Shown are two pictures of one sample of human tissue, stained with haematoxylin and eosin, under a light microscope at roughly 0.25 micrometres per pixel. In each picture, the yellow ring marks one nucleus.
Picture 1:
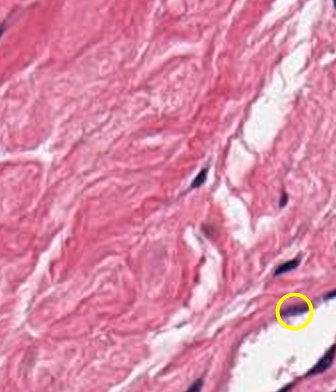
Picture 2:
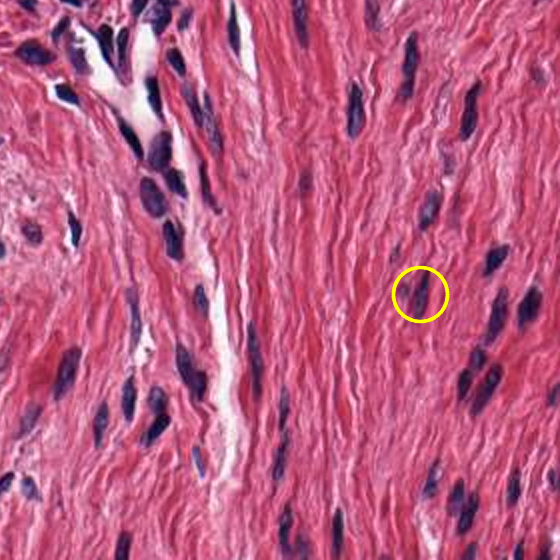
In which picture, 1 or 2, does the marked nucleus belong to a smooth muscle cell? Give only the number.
2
